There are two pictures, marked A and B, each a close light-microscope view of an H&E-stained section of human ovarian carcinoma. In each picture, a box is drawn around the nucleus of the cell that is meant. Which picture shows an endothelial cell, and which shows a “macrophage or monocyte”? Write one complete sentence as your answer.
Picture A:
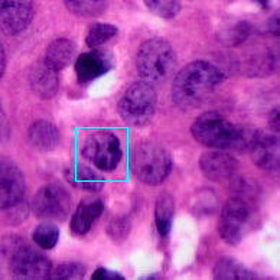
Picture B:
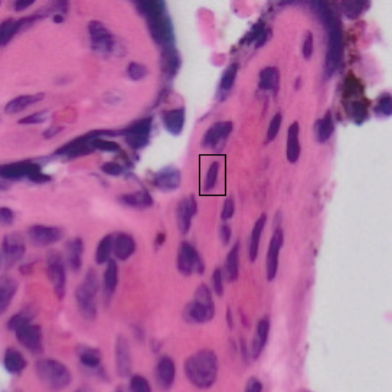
Picture A shows a “macrophage or monocyte” and picture B shows an endothelial cell.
